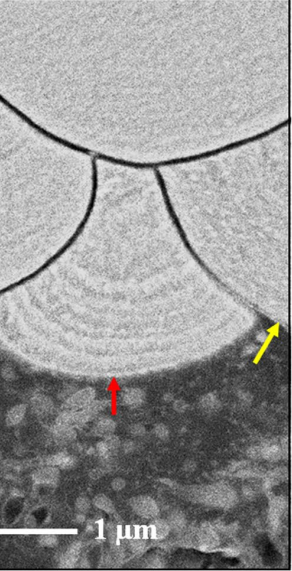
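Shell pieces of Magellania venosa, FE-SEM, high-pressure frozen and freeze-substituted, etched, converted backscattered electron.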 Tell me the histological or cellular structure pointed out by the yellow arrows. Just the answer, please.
extracellular biopolymer membrane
